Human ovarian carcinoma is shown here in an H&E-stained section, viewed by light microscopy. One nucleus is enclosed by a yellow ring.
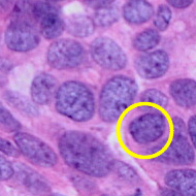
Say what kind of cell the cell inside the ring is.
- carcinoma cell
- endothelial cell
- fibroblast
carcinoma cell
